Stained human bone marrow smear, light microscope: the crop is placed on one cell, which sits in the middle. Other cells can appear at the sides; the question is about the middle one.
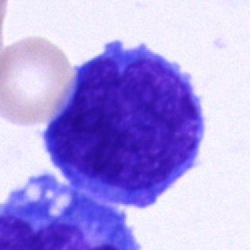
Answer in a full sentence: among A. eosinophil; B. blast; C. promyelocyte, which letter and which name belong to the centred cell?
Given that the cell in the middle is a blast, option B is correct.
